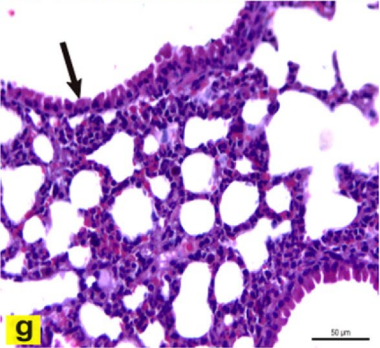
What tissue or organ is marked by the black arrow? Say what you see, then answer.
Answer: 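The arrow points to a continuous single row of tall cells lining a large lumen. The nuclei of this lining are aligned in a regular row. The answer: lining epithelium of bronchioles.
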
